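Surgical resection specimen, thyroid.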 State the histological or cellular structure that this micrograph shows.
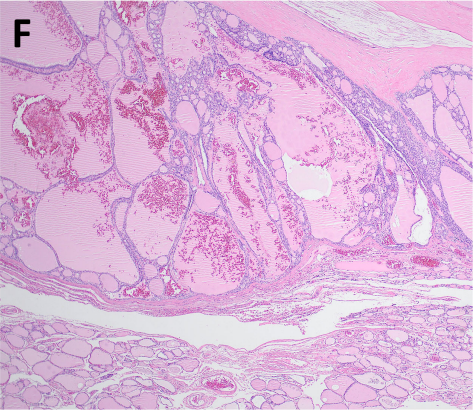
macrofollicular proliferation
